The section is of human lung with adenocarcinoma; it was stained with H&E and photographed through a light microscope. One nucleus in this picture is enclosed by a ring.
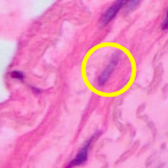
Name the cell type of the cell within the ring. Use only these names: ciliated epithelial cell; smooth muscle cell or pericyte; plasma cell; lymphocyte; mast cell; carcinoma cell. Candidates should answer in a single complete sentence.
Students should answer that the cell within the ring is a smooth muscle cell or pericyte.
